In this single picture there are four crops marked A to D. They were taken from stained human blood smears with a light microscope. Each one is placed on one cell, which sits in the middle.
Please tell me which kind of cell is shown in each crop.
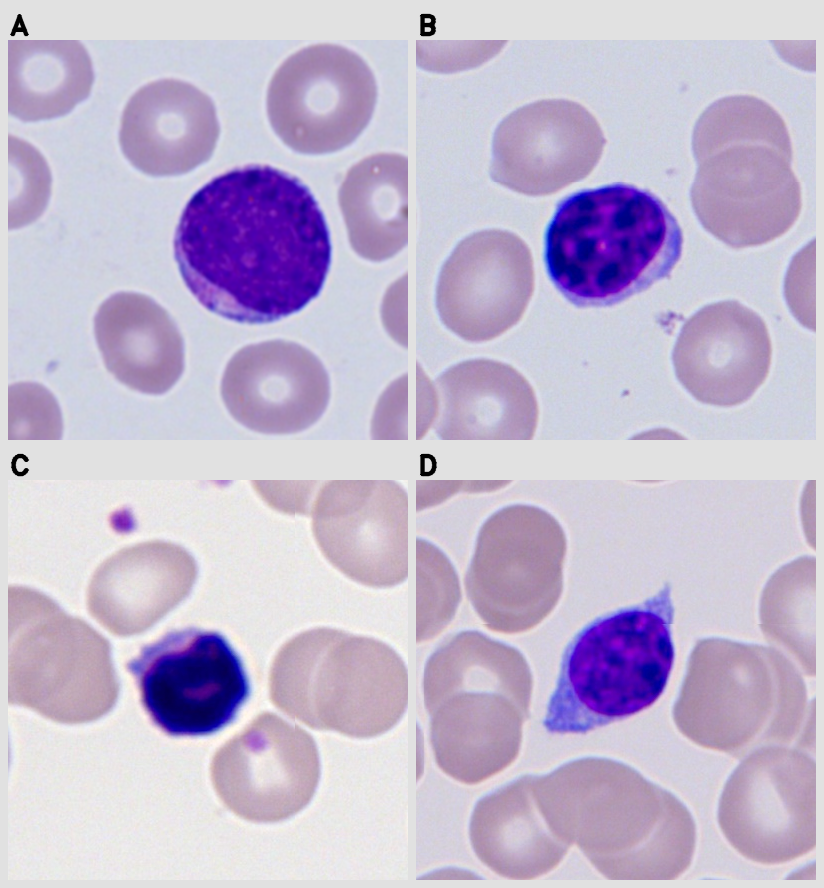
A: myeloblast
B: lymphocyte
C: lymphocyte
D: lymphocyte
